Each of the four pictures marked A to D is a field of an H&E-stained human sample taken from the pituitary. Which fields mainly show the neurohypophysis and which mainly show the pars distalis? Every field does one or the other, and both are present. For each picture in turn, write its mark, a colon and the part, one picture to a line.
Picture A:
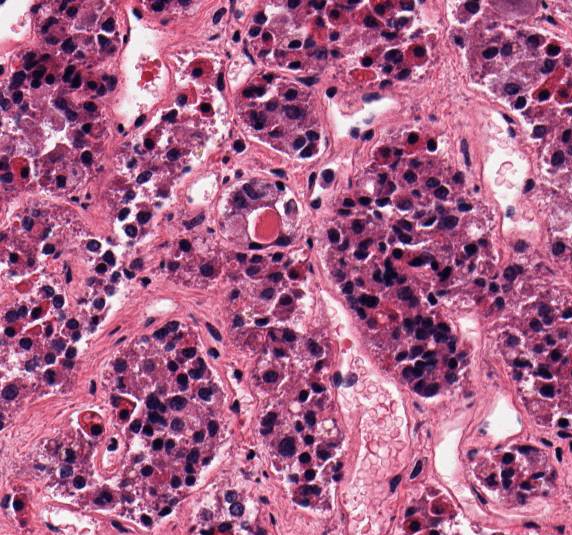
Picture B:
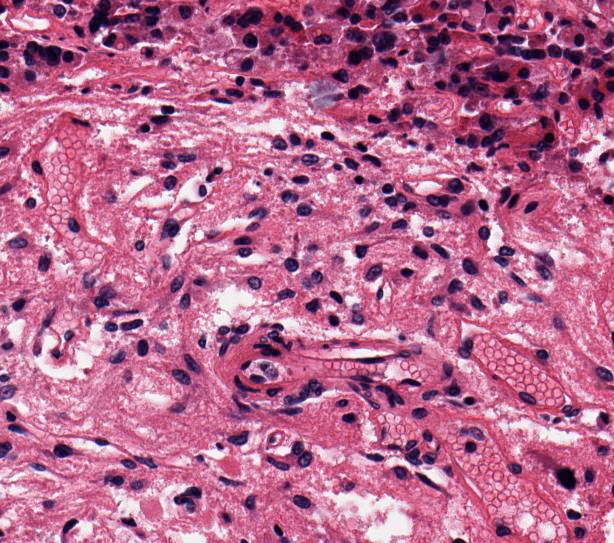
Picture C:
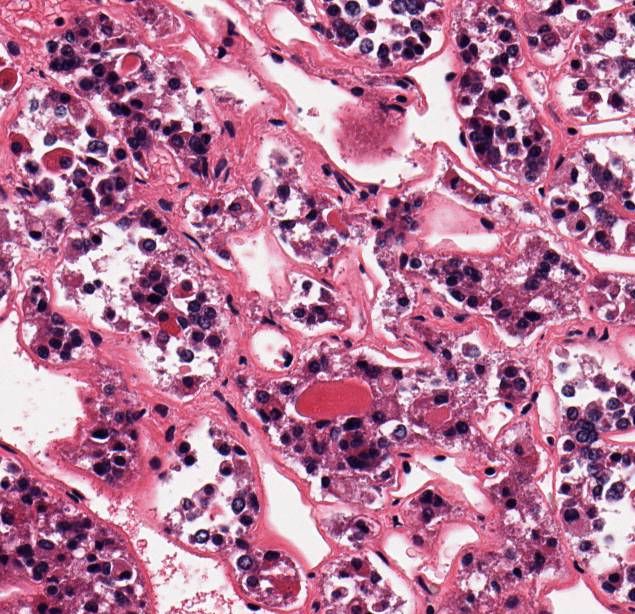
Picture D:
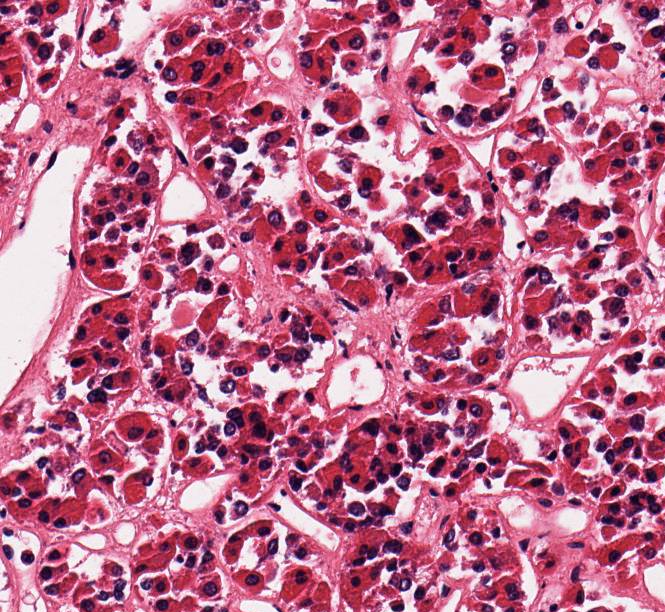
A: pars distalis
B: neurohypophysis
C: pars distalis
D: pars distalis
